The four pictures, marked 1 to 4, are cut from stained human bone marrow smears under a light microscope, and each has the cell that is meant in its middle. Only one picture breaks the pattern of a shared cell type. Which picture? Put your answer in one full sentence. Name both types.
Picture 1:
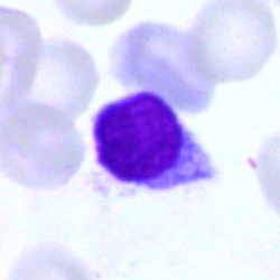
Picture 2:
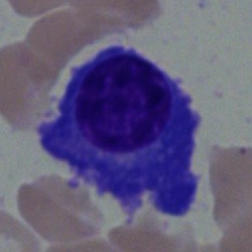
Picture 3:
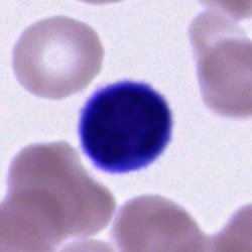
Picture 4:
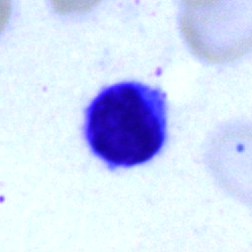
The others show lymphocytes, but picture 2 shows a plasma cell.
